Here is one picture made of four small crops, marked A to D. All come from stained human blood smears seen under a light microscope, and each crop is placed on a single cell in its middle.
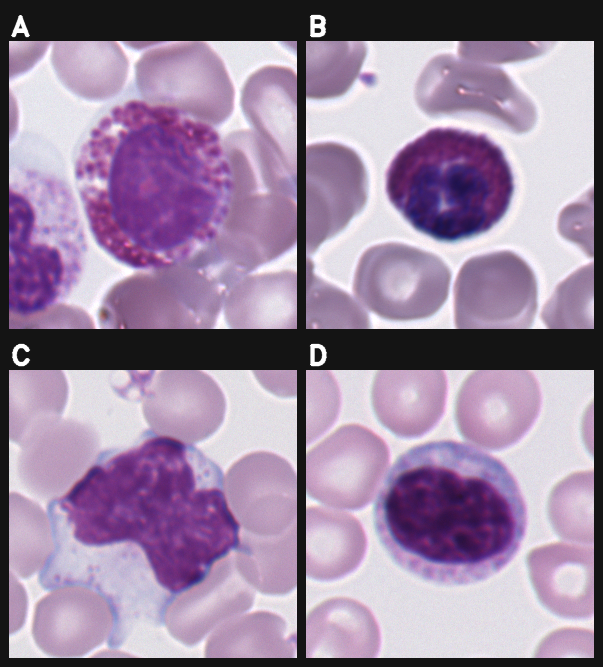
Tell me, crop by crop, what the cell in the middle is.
A: eosinophil
B: eosinophil
C: large granular lymphocyte
D: metamyelocyte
